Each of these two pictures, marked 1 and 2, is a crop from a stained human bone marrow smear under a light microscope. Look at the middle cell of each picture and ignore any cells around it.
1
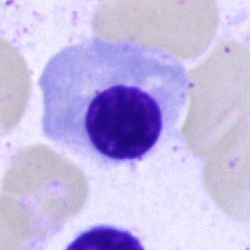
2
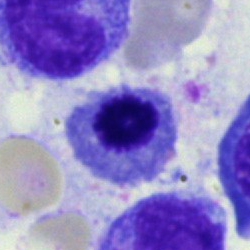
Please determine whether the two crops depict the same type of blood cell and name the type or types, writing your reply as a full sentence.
Yes, erythroblasts occupy the centre of both crops.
